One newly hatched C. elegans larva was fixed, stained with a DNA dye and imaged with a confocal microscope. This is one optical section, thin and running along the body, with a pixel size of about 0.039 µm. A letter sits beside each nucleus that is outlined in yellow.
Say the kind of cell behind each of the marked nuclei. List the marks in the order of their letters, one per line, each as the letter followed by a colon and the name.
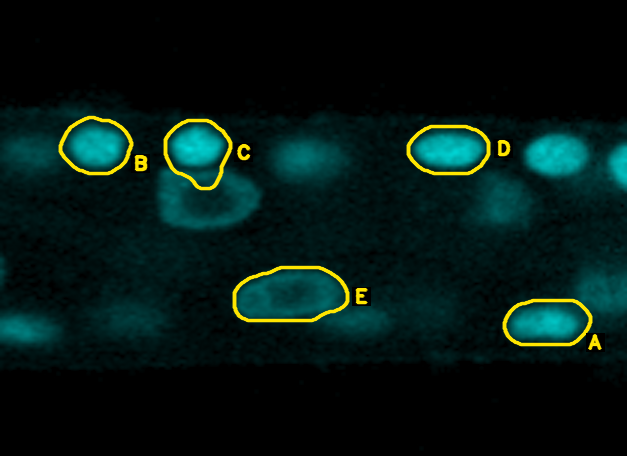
A: body wall muscle cell
B: neuron
C: neuron
D: neuron
E: intestinal cell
